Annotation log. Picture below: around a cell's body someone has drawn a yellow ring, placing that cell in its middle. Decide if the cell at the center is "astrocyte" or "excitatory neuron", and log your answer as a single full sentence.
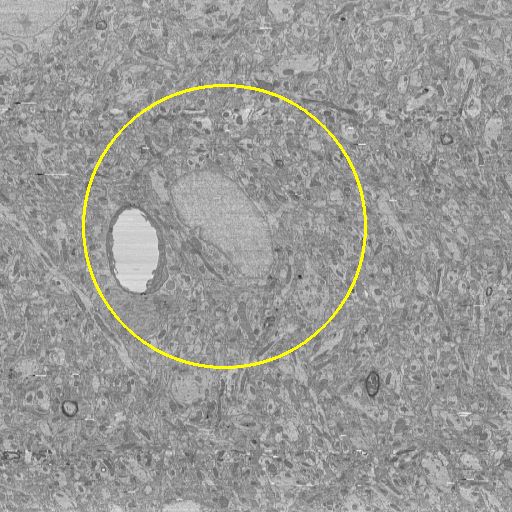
My entry records an astrocyte as the cell sitting at the center of the yellow ring.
